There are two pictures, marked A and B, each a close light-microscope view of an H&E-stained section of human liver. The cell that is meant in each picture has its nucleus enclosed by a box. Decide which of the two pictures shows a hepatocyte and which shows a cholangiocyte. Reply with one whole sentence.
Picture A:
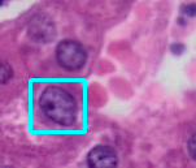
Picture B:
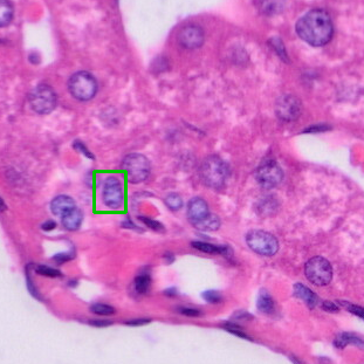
It is picture A that shows a hepatocyte, and picture B that shows a cholangiocyte.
